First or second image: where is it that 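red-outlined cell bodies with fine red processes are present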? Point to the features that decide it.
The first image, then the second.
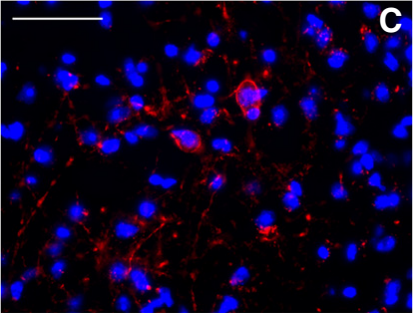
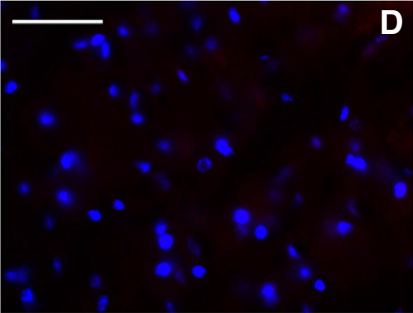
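Second image: only scattered blue nuclei on a dark background, with no red cell outlines or fibres. First image: several cell bodies ringed by red, and a network of thin red fibres among the blue nuclei.
Conclusion: the first image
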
